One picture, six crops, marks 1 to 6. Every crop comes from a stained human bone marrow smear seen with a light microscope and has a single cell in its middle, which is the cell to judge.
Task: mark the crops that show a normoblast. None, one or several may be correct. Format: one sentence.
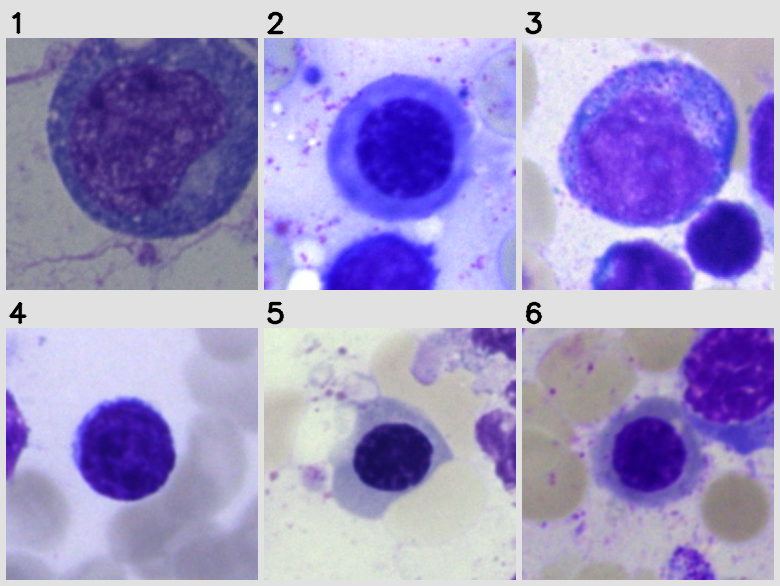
Crops 2, 5 and 6 each contain a central cell, and these cells are normoblasts.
